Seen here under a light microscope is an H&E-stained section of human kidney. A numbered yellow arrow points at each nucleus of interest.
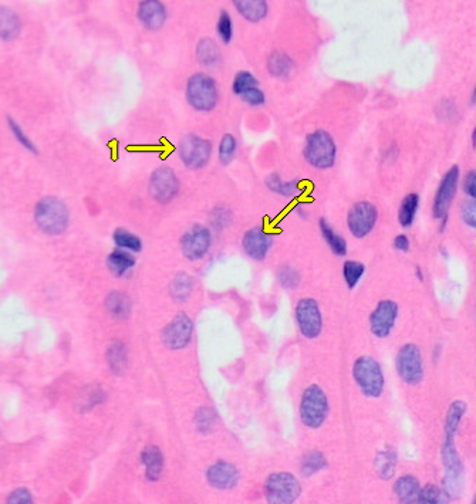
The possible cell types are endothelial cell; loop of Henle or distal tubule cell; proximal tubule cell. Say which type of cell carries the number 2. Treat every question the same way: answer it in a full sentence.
The nucleus labeled 2 belongs to a loop of Henle or distal tubule cell.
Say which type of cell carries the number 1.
Cell 1 in the field is a proximal tubule cell.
